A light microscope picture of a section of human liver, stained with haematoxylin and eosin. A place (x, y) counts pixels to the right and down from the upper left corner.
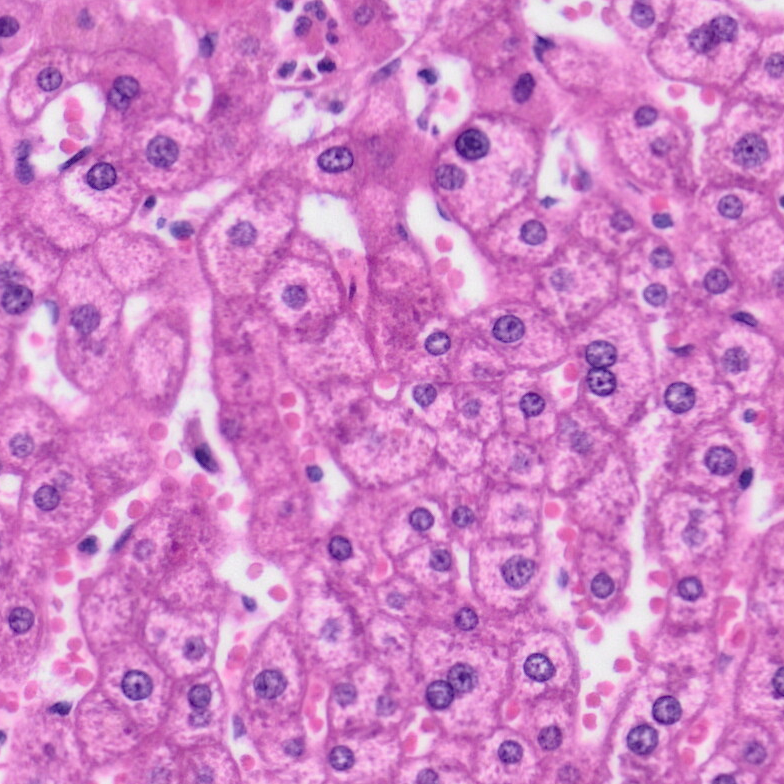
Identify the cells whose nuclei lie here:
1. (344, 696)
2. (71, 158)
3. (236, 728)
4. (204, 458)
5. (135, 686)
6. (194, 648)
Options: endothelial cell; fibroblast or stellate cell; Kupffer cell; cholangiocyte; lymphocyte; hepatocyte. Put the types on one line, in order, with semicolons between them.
hepatocyte; endothelial cell; endothelial cell; Kupffer cell; hepatocyte; hepatocyte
